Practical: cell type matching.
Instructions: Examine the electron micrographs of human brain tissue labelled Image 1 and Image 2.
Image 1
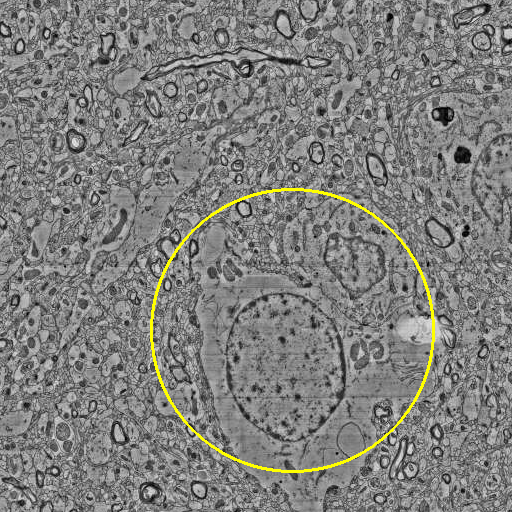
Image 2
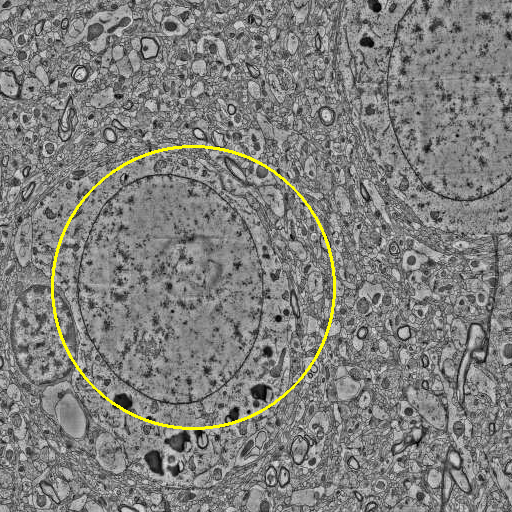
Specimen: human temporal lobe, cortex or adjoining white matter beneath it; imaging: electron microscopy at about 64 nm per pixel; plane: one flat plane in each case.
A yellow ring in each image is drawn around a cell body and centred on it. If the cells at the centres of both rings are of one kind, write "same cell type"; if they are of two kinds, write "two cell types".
two cell types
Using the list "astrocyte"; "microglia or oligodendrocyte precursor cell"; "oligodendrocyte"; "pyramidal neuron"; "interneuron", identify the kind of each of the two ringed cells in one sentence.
The first is an astrocyte and the second is a pyramidal neuron.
